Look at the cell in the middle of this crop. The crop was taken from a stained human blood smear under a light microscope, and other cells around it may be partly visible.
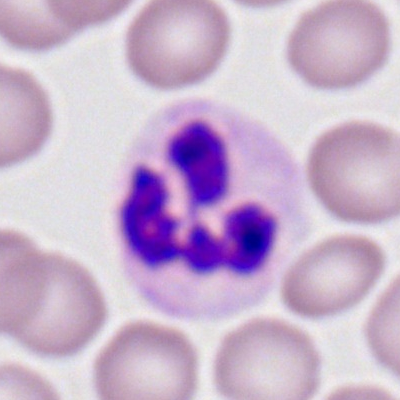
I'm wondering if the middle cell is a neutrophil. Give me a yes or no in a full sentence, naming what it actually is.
Yes, this central cell is a neutrophil.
